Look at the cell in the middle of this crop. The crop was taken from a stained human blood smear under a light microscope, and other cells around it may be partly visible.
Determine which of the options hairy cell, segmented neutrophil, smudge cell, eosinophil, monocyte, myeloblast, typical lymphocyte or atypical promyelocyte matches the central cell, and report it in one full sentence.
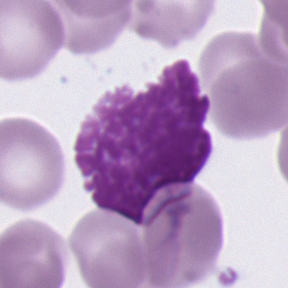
Standing at the centre of this crop is a smudge cell.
